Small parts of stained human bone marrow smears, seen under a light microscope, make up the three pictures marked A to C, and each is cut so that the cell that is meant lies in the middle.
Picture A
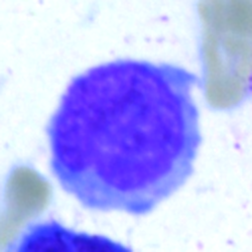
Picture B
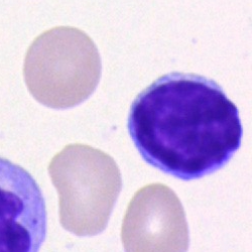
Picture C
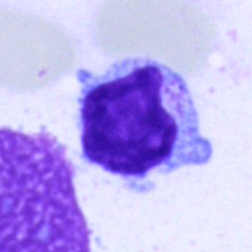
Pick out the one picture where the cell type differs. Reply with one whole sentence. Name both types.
Picture A differs, because its cell is a blast and the rest are lymphocytes.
